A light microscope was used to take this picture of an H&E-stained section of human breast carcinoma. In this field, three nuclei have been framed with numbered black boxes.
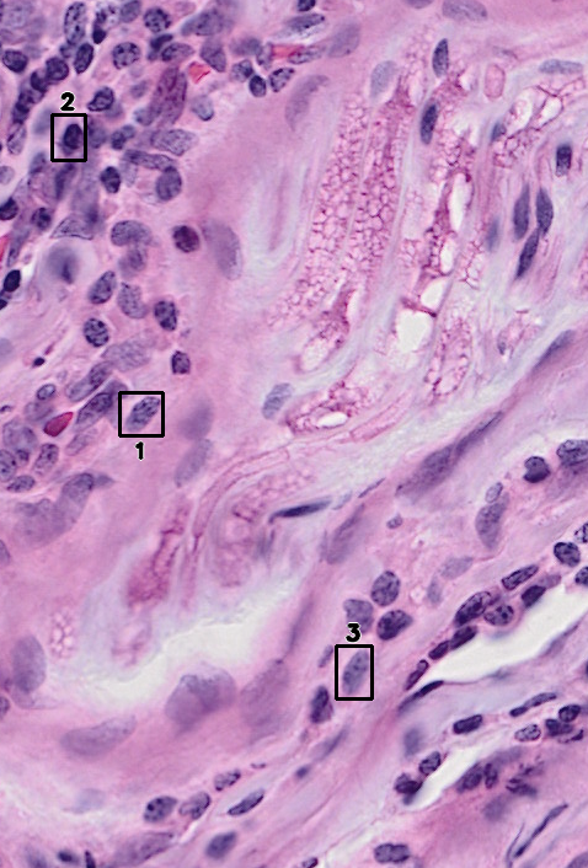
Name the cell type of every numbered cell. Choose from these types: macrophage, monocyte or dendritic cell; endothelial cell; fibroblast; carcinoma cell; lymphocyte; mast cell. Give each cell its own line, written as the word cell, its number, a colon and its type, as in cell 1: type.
cell 1: mast cell
cell 2: lymphocyte
cell 3: mast cell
